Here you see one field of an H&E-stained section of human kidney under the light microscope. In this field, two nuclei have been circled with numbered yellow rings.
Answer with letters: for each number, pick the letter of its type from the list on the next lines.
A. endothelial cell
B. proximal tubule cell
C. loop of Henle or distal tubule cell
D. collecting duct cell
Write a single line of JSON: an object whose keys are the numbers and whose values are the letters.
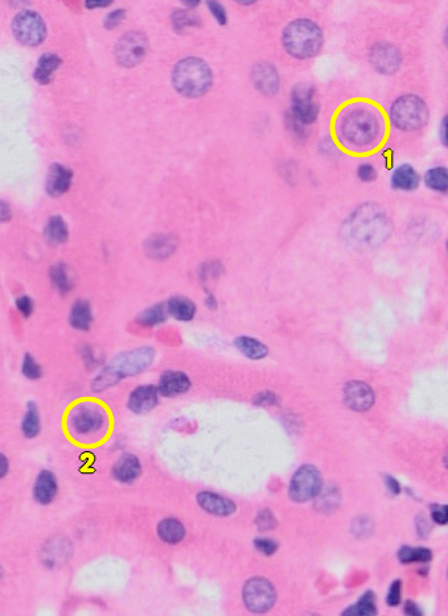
{"1": "B", "2": "C"}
